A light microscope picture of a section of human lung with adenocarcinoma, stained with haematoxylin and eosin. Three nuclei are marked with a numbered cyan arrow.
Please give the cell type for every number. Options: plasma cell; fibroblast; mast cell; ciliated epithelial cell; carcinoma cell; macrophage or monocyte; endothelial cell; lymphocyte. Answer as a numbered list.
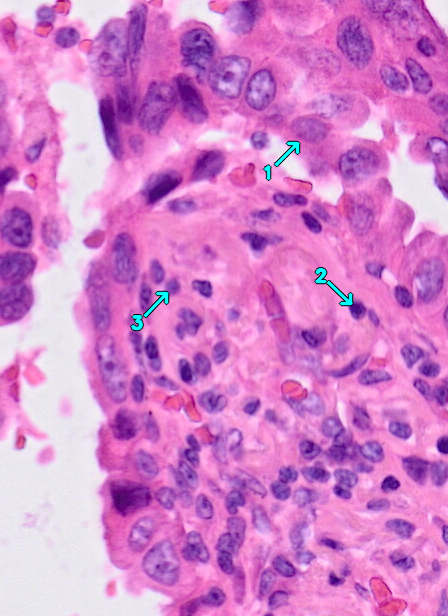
1. carcinoma cell
2. lymphocyte
3. lymphocyte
